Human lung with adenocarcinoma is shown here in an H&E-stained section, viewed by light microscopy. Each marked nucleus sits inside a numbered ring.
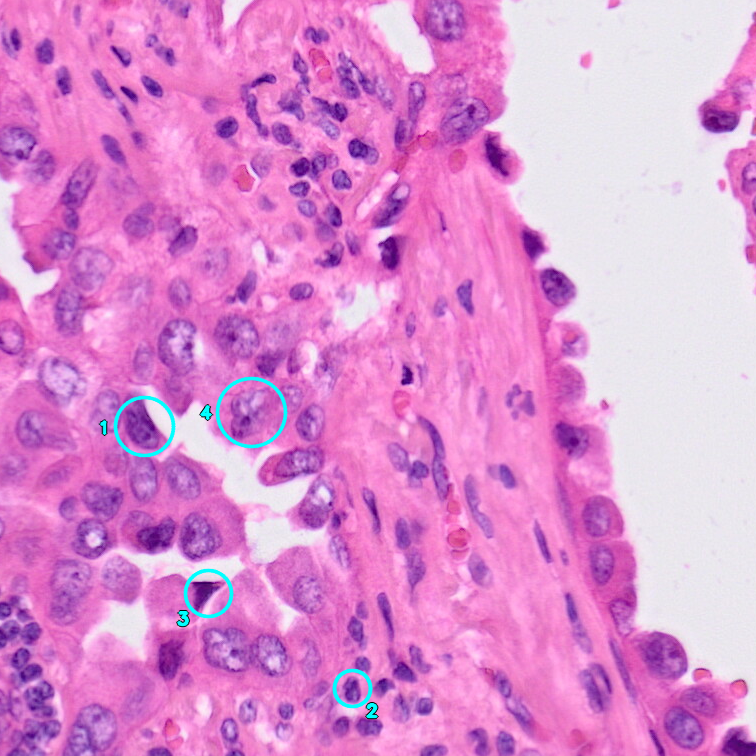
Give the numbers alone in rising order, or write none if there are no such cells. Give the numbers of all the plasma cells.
none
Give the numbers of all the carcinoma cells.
1, 3, 4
